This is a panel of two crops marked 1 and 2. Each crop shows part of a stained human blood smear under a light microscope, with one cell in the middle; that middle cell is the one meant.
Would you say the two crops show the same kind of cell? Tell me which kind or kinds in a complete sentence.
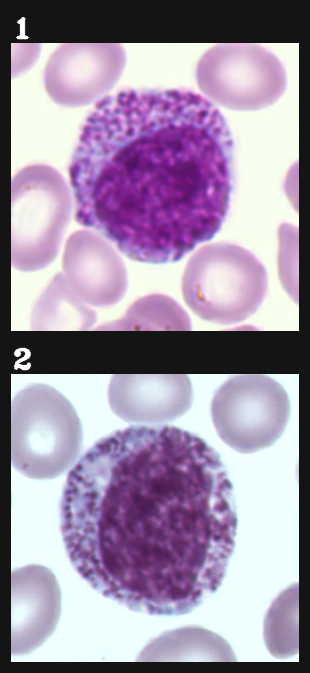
Yes, the two crops share the same answer, myelocytes.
